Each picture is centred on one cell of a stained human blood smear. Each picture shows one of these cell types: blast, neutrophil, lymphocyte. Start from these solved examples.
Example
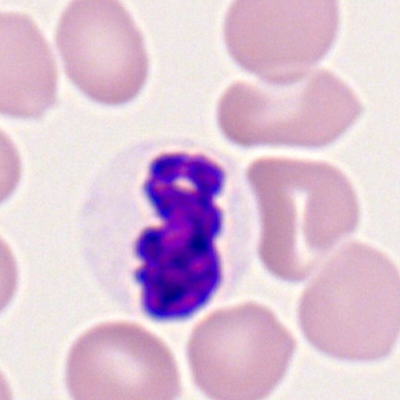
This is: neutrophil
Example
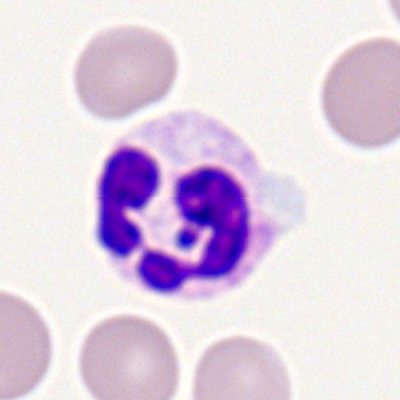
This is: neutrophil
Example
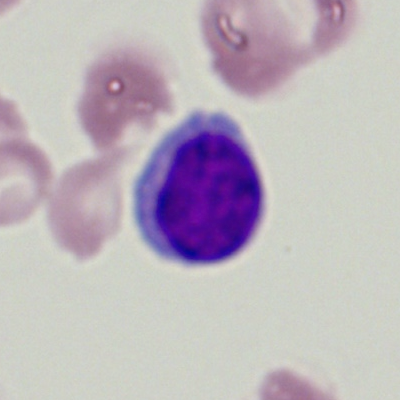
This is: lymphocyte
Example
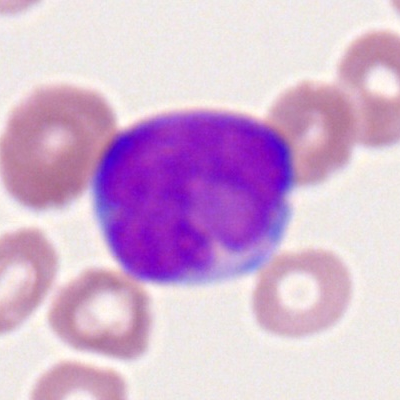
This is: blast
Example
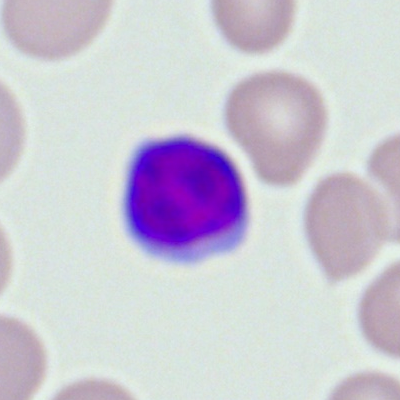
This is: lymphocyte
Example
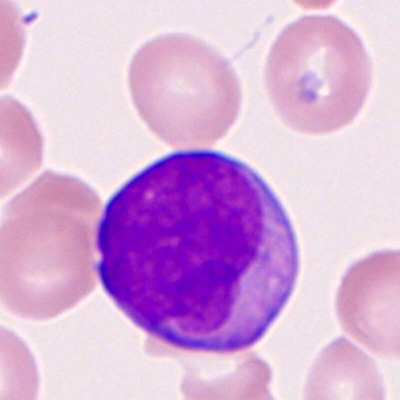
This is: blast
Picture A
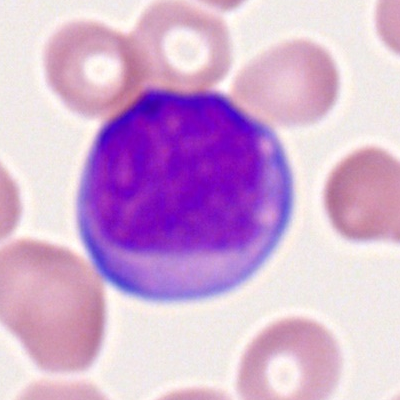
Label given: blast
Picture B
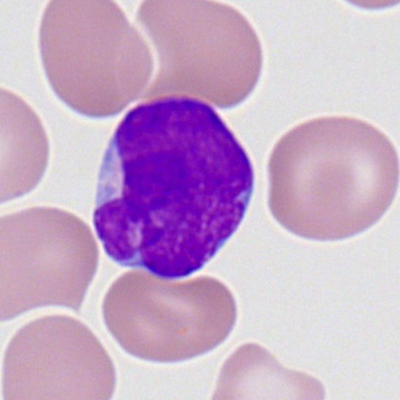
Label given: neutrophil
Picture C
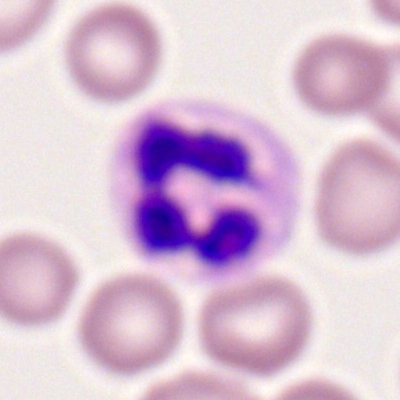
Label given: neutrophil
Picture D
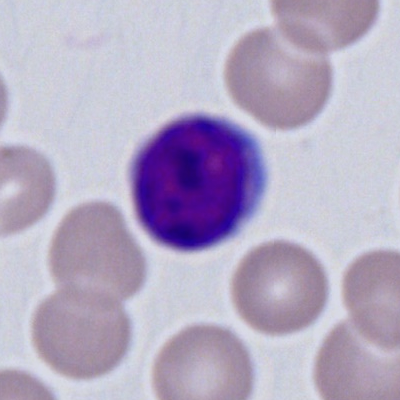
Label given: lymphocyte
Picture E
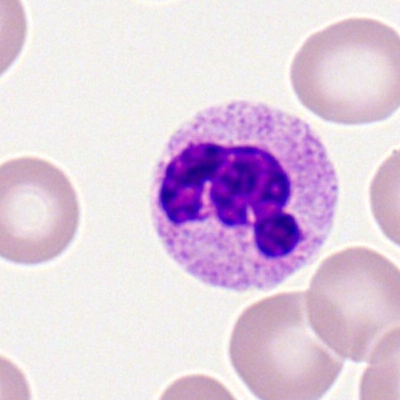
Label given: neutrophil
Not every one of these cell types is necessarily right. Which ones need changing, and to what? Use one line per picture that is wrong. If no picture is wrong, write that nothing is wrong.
B is labelled neutrophil; correct label: blast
